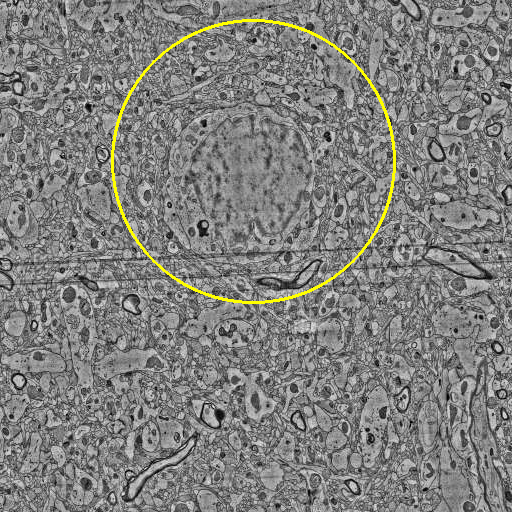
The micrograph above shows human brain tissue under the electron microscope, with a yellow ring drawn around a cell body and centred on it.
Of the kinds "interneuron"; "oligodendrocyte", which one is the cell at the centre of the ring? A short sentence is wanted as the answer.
The one at the centre of the ring is an interneuron.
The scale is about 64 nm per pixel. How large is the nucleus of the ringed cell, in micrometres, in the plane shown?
In this plane, the nucleus measures approximately 8 micrometres across.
